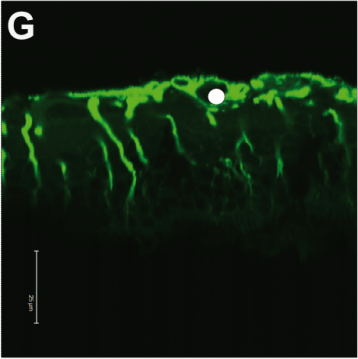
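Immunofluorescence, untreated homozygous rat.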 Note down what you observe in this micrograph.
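Retina in cross-section with Müller cells stained bright green: a dense band of endfeet lines the inner surface and wraps around a vessel. Thick vertical processes descend from this band into the inner retina and fade toward the outer layers.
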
